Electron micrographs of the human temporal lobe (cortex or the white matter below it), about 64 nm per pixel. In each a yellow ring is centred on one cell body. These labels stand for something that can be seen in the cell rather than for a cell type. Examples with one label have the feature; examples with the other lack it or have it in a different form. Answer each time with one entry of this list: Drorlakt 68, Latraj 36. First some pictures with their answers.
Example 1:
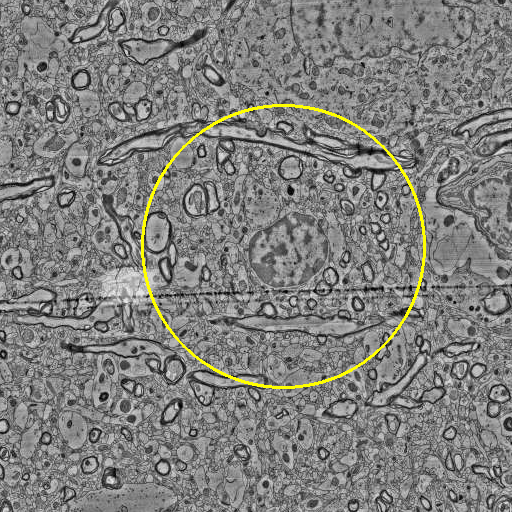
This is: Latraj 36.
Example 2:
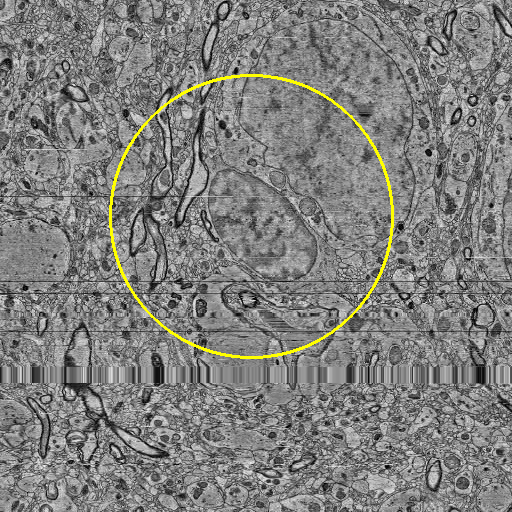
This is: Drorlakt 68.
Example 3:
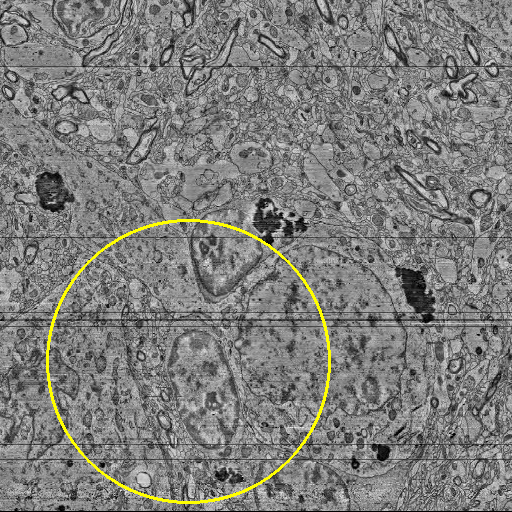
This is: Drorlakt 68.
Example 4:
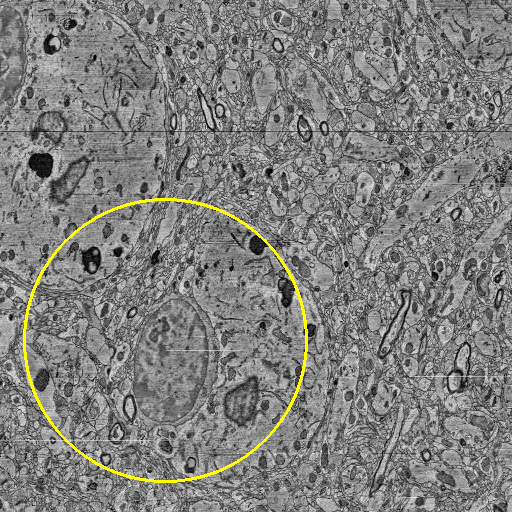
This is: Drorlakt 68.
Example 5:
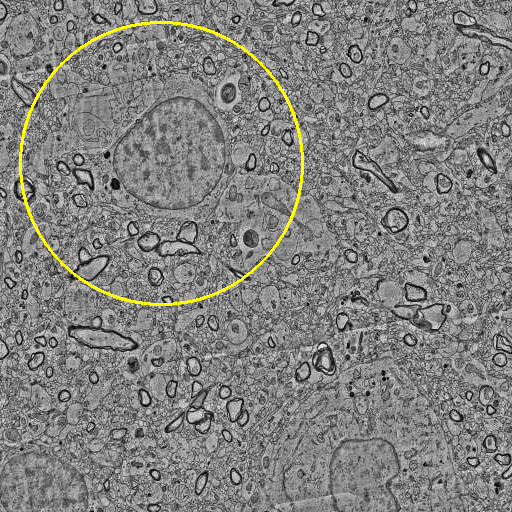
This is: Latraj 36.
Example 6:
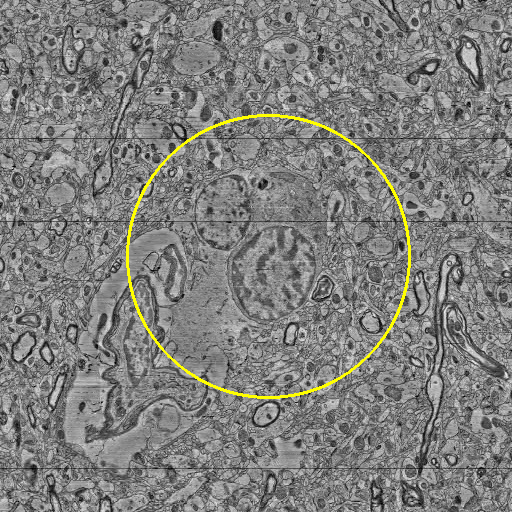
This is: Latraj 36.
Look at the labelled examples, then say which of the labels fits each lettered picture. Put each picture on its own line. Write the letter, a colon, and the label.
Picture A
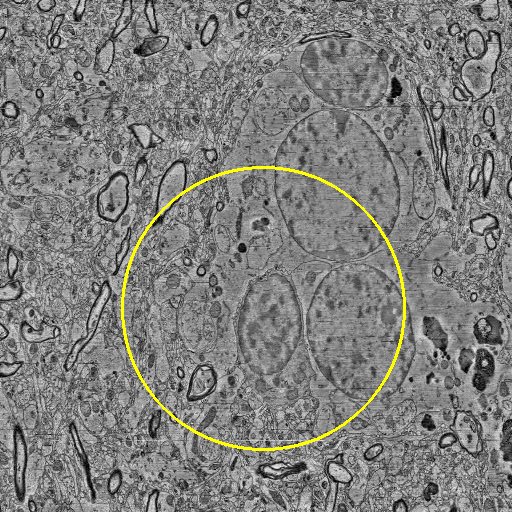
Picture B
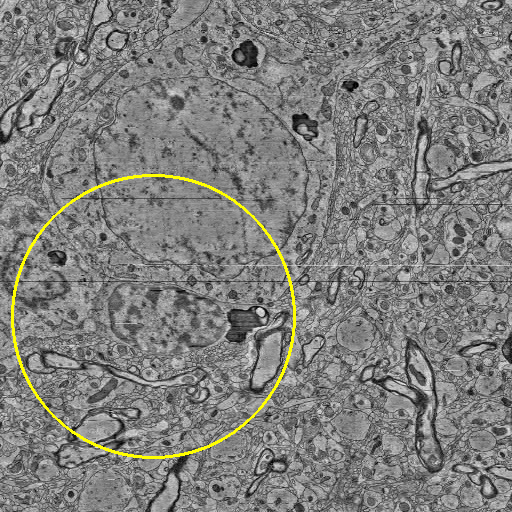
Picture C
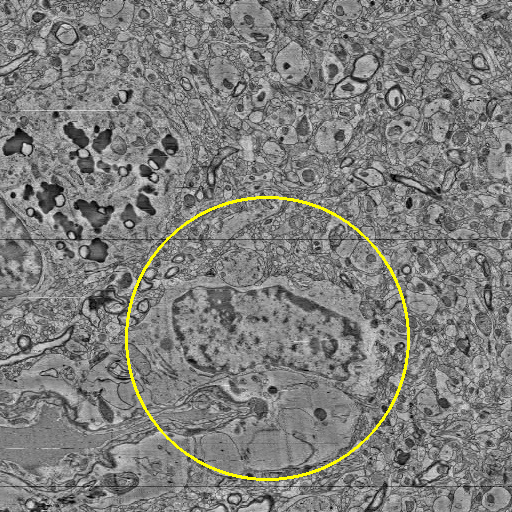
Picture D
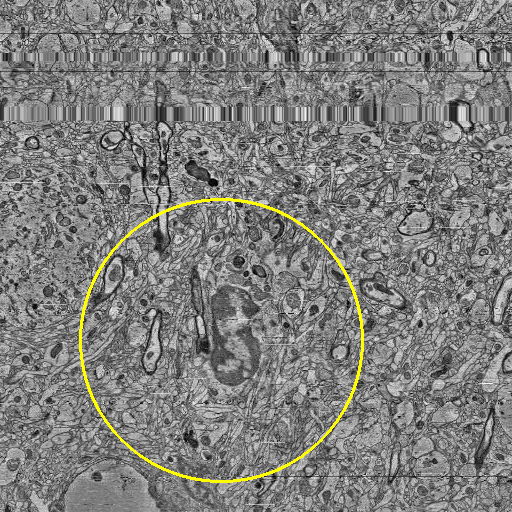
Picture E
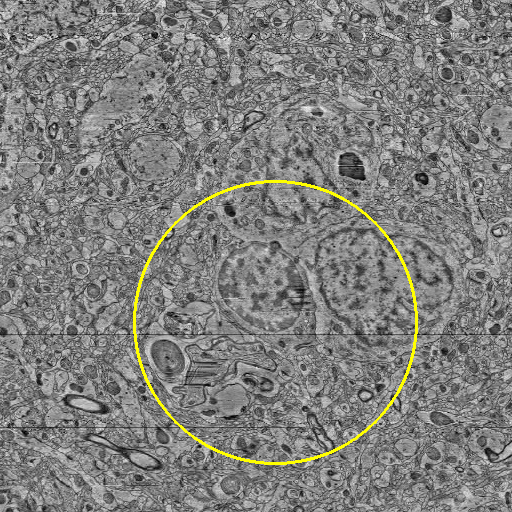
A: Drorlakt 68.
B: Drorlakt 68.
C: Drorlakt 68.
D: Drorlakt 68.
E: Latraj 36.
